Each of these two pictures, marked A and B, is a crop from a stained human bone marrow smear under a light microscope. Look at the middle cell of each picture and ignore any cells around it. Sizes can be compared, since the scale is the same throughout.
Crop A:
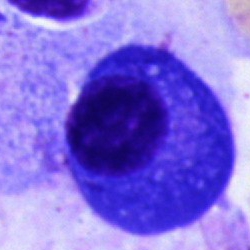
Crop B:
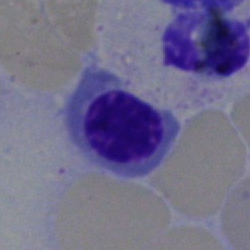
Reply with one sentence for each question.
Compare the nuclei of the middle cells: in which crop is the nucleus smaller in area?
Crop B shows the smaller nucleus, since that in crop A covers about 2 times as much area.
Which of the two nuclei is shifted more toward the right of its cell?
It is the nucleus in crop B that lies further toward the right of its cell.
